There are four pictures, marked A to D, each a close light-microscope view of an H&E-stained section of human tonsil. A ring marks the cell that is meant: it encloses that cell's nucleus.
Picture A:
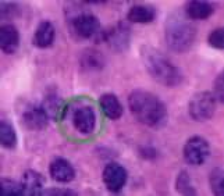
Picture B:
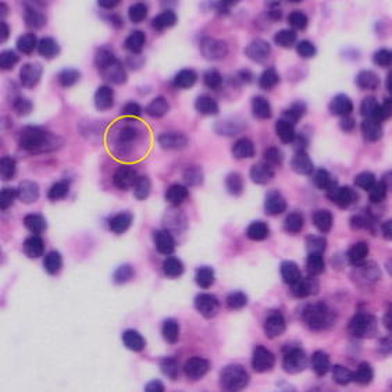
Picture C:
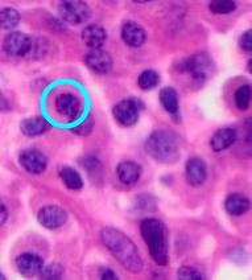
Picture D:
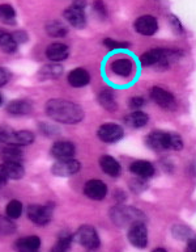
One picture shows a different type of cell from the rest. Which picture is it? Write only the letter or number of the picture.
B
